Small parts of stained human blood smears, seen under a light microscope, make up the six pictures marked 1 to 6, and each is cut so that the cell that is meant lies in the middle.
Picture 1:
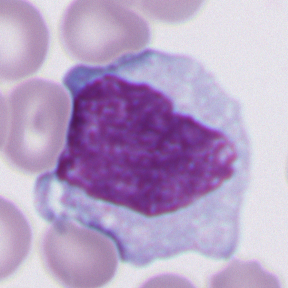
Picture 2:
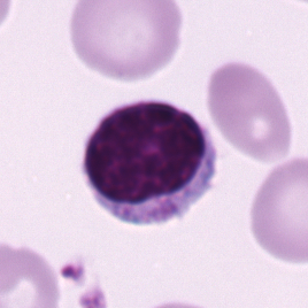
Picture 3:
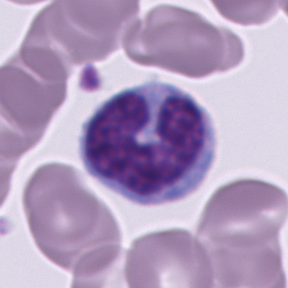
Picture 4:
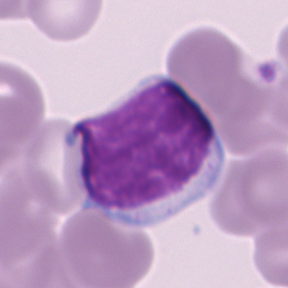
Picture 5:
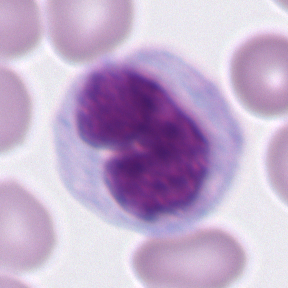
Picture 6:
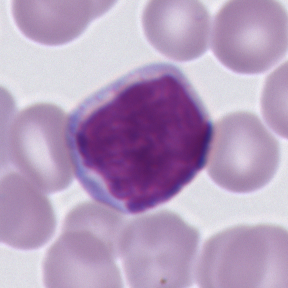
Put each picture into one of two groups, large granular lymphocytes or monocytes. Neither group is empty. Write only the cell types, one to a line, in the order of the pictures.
monocyte
large granular lymphocyte
monocyte
large granular lymphocyte
monocyte
large granular lymphocyte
